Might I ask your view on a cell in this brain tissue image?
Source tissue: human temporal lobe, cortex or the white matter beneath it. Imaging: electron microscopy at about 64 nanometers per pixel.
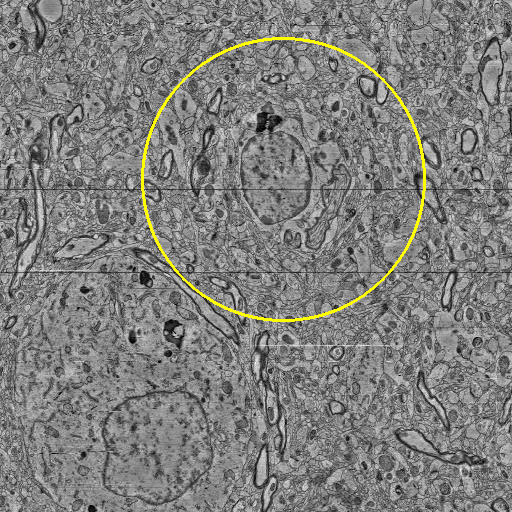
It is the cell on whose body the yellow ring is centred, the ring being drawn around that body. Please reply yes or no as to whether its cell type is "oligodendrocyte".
no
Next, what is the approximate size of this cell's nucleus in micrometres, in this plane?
The ringed cell's nucleus measures approximately 6 by 4 micrometres in this plane.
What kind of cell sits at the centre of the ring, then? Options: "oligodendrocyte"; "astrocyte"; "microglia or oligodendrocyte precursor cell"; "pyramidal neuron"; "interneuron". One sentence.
Instead, the cell at the centre of the ring is a microglial cell or oligodendrocyte precursor cell.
